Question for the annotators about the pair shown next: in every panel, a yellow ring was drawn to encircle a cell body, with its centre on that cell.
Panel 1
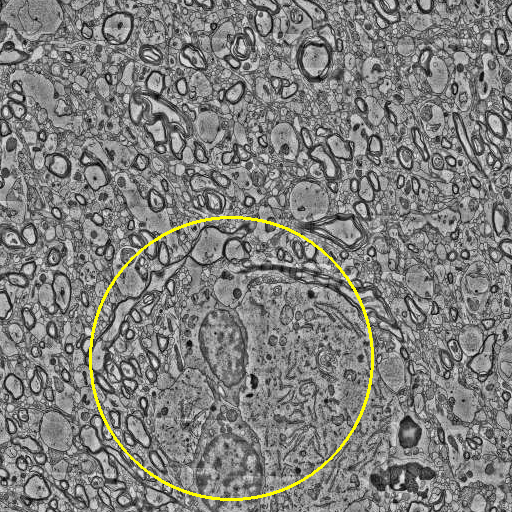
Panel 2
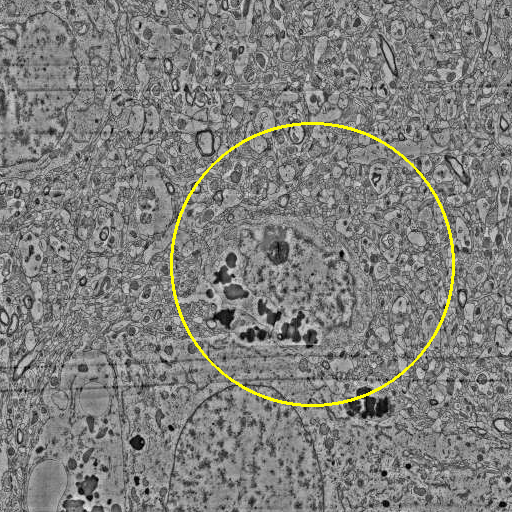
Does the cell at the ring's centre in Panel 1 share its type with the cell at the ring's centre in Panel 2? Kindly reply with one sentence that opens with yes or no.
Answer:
No, in Panels 1 and 2 the cells at the ring centres belong to separate types.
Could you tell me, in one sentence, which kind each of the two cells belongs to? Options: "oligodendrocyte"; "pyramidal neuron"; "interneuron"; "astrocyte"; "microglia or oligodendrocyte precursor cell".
At the centre of the first ring sits an oligodendrocyte, and at the centre of the second sits an interneuron.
